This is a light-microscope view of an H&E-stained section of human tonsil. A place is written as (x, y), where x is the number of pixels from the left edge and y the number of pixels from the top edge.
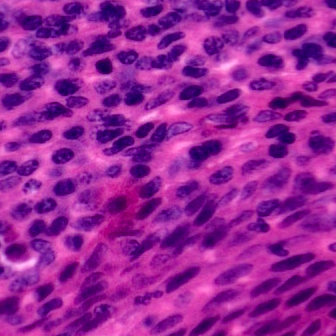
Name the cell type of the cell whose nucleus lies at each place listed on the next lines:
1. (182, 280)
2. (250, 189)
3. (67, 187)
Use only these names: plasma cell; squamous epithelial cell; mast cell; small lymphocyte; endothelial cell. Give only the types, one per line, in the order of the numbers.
squamous epithelial cell
squamous epithelial cell
plasma cell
